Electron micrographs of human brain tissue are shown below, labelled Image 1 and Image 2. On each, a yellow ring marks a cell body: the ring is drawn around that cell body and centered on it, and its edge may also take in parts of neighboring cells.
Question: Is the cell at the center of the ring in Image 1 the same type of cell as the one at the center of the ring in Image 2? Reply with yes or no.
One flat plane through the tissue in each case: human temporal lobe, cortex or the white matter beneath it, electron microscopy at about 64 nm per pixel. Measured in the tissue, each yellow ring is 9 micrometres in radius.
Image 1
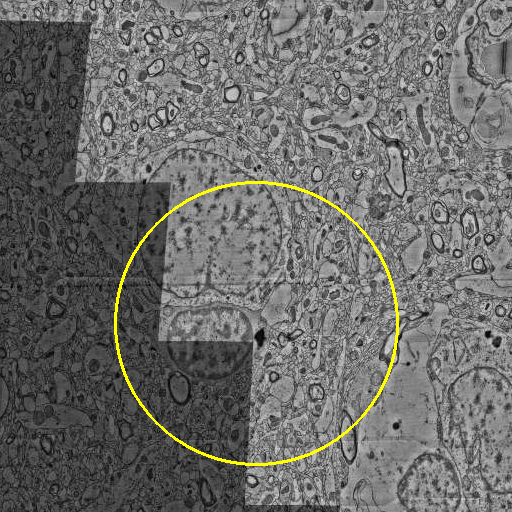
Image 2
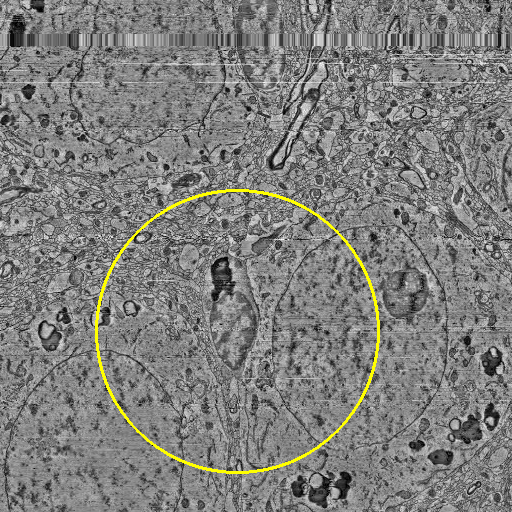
yes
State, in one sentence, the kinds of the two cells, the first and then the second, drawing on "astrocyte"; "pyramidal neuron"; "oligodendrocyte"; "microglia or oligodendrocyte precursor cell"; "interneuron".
Each cell, in the first picture and the second, is an oligodendrocyte.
